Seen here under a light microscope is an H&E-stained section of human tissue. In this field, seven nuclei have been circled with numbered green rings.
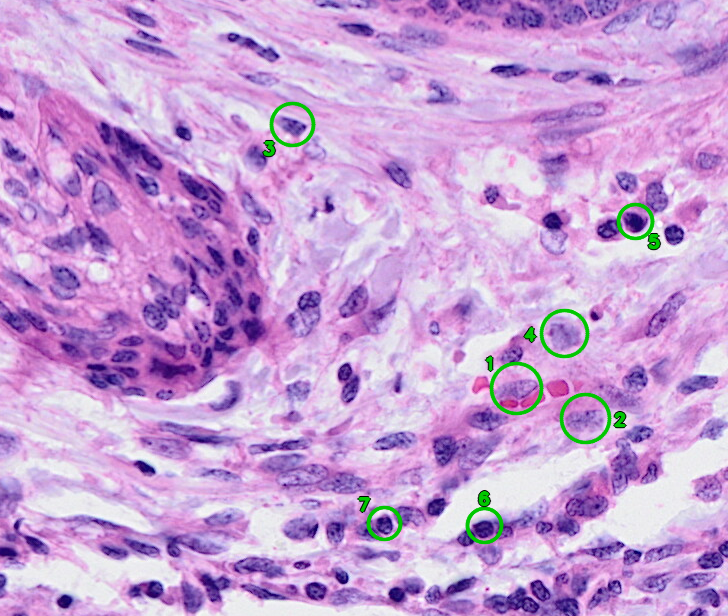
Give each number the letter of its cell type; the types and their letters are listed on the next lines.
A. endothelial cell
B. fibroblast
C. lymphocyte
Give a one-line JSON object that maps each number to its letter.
{"1": "A", "2": "A", "3": "C", "4": "B", "5": "C", "6": "C", "7": "C"}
